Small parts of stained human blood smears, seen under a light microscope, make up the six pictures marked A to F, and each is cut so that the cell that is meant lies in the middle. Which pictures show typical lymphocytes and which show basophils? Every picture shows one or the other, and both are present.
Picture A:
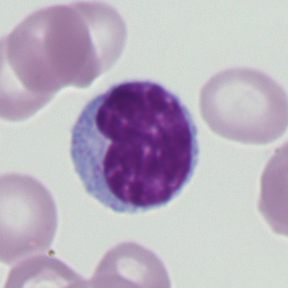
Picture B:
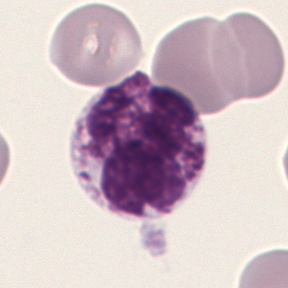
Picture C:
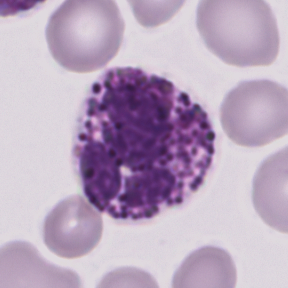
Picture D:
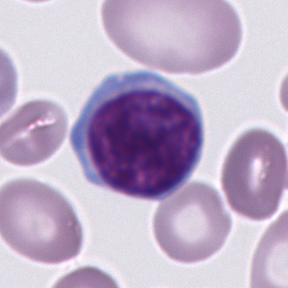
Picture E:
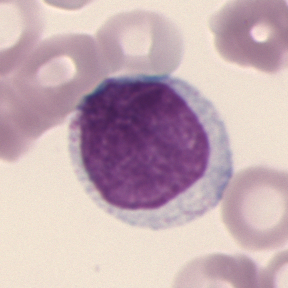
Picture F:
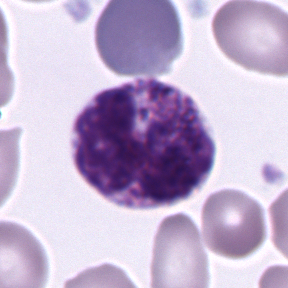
A: typical lymphocyte
B: basophil
C: basophil
D: typical lymphocyte
E: typical lymphocyte
F: basophil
